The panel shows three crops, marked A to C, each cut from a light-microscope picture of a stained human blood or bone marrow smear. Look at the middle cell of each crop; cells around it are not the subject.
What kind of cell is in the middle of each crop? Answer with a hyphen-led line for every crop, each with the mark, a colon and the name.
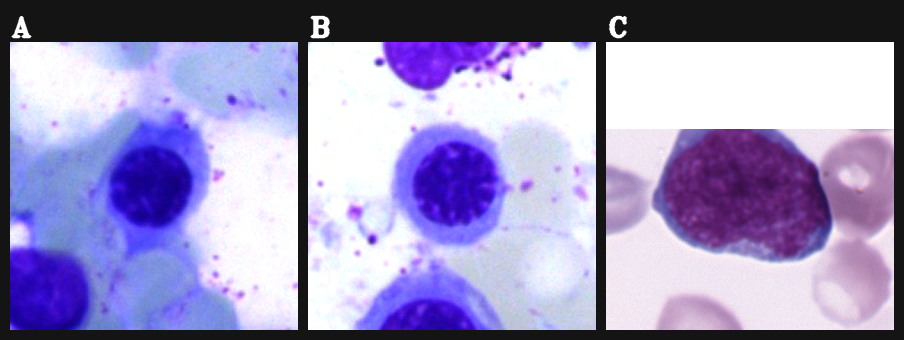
- A: erythroblast
- B: erythroblast
- C: blast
